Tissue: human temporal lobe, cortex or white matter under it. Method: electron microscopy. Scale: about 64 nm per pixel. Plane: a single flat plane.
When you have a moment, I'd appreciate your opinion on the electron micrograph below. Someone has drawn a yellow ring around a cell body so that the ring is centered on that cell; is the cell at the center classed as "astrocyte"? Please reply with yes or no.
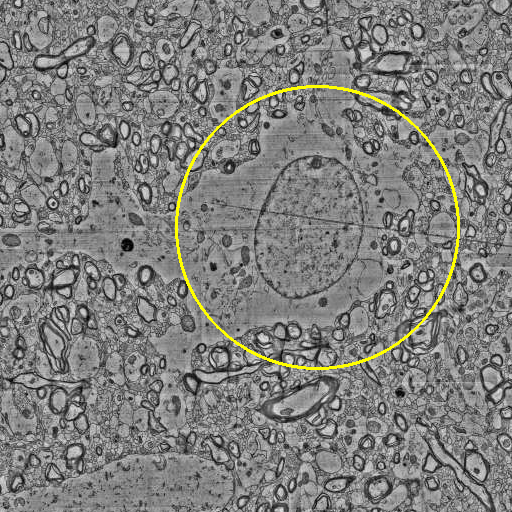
Yes, that cell is of the named kind.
